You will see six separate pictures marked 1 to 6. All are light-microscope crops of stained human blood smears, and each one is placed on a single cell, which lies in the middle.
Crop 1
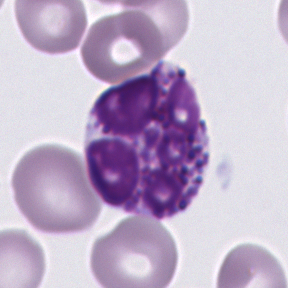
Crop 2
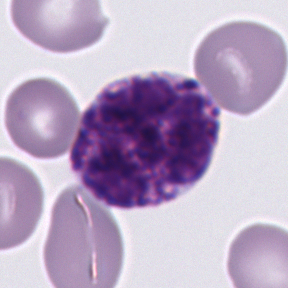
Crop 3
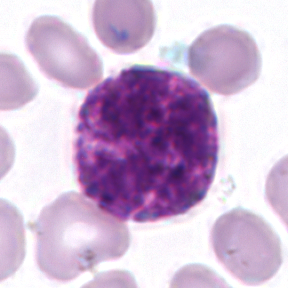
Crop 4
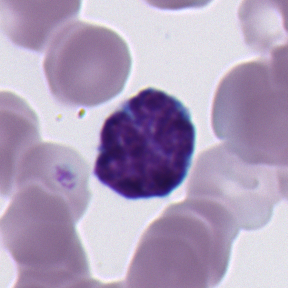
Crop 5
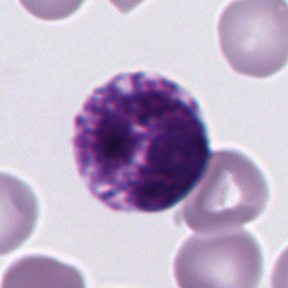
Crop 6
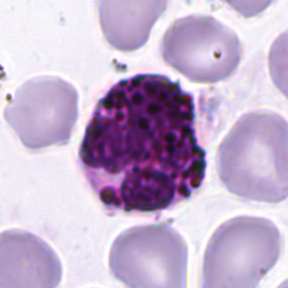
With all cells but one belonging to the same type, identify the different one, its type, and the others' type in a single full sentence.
Crop 4 is the outlier, with a typical lymphocyte against basophils in the rest.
